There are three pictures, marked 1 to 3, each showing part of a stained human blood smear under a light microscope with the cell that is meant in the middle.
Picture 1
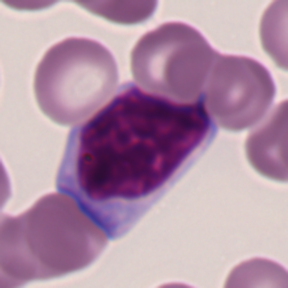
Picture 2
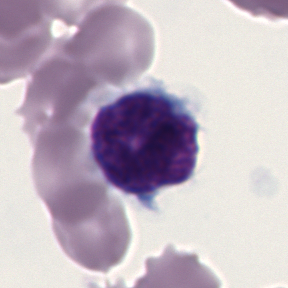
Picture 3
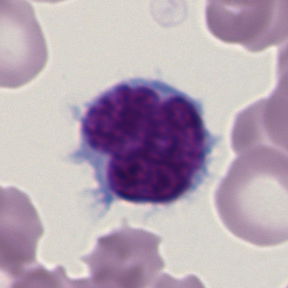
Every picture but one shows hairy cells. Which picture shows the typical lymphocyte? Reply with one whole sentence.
Picture 1 shows the typical lymphocyte.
